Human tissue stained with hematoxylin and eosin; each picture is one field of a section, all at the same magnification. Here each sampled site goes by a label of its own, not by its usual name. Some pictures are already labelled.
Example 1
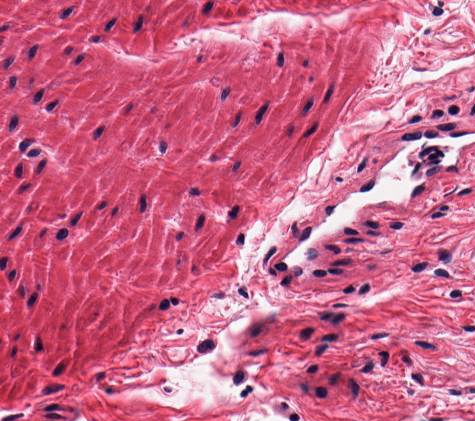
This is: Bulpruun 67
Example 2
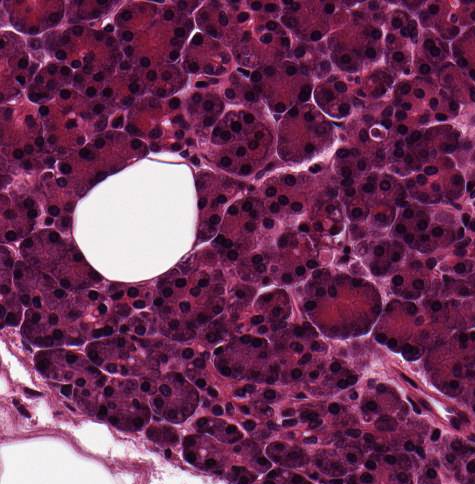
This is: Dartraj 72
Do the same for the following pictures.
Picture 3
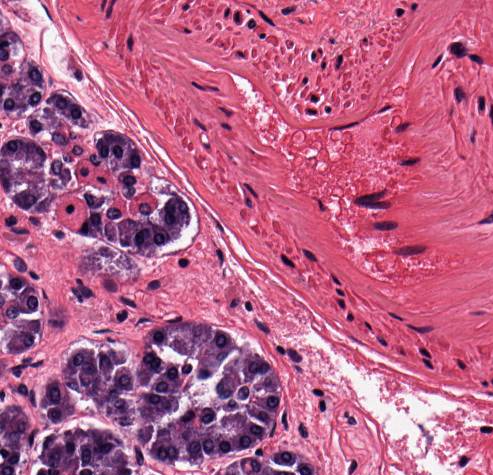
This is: Dartraj 72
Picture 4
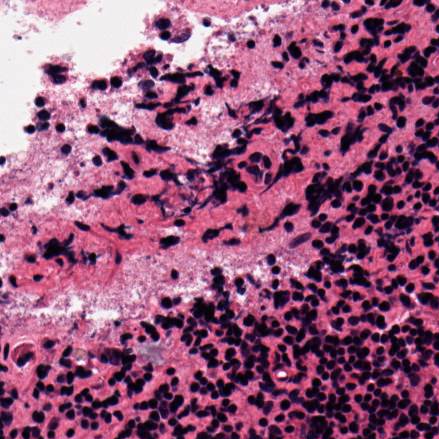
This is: Bulpruun 67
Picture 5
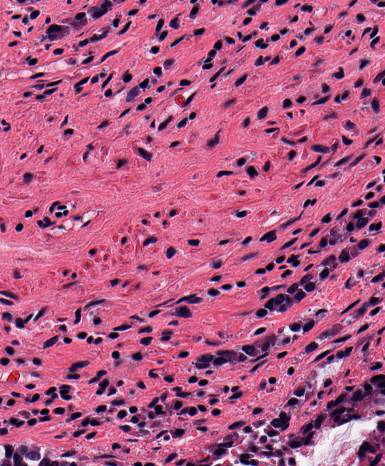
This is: Bulpruun 67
